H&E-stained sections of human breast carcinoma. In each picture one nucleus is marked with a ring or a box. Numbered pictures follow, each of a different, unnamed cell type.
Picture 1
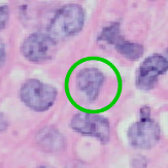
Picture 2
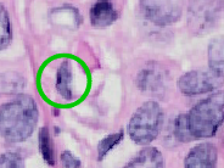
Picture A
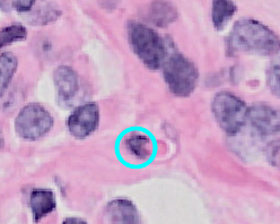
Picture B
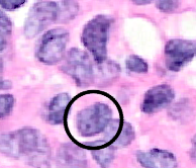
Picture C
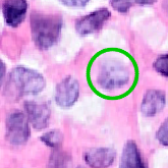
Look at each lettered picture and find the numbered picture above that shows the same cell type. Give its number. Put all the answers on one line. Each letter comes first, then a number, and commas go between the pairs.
A 2, B 1, C 1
